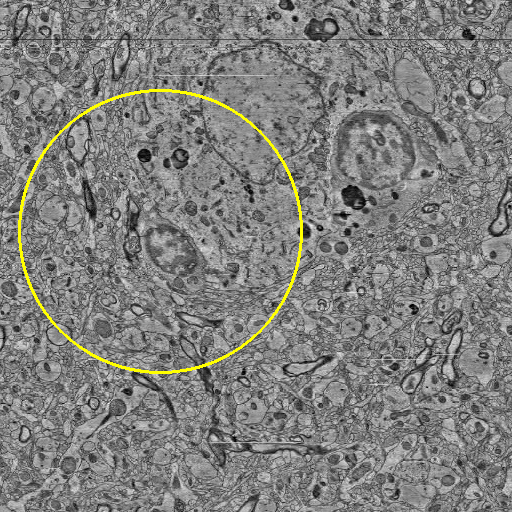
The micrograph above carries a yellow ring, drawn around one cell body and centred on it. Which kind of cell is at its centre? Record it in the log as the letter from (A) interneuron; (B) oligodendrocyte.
B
